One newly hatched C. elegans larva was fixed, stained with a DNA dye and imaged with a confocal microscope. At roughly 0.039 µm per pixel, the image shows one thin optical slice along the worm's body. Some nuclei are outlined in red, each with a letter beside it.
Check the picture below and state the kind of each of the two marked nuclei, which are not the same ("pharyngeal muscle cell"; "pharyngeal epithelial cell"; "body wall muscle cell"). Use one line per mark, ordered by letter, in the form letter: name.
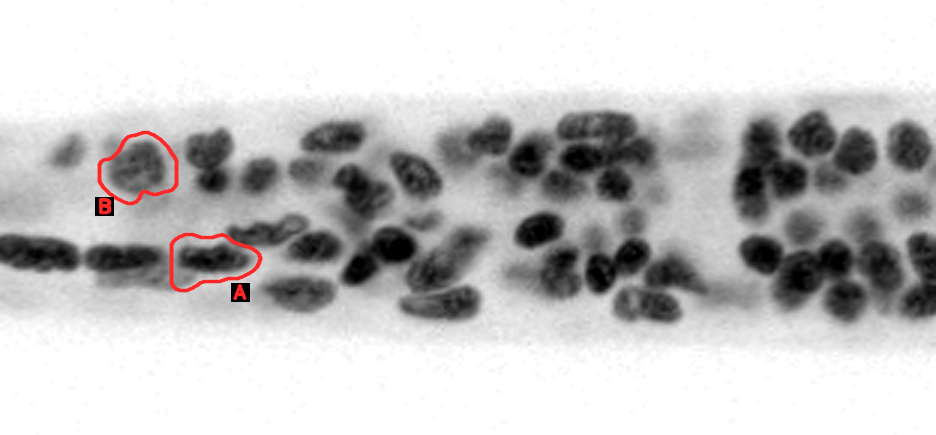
A: pharyngeal epithelial cell
B: body wall muscle cell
